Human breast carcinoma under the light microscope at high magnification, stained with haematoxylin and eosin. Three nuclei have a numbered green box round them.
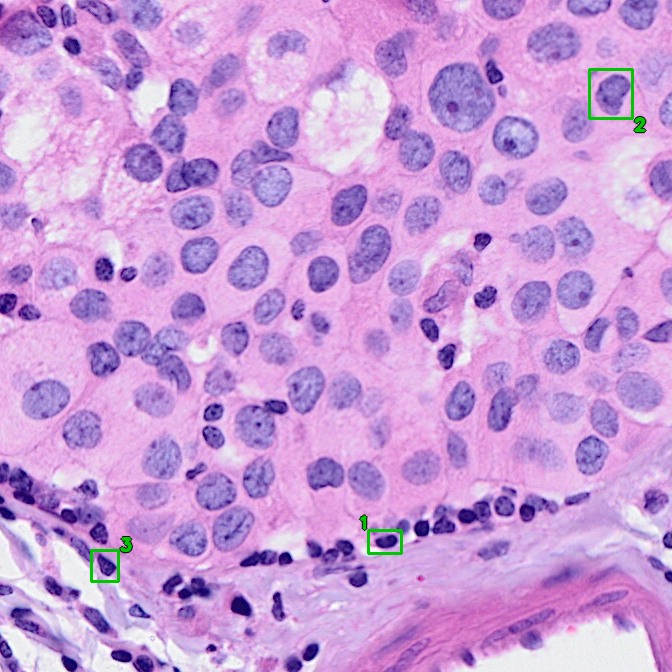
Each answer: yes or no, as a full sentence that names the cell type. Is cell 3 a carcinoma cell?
No, the cell bearing the number 3 is a lymphocyte, not a carcinoma cell.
